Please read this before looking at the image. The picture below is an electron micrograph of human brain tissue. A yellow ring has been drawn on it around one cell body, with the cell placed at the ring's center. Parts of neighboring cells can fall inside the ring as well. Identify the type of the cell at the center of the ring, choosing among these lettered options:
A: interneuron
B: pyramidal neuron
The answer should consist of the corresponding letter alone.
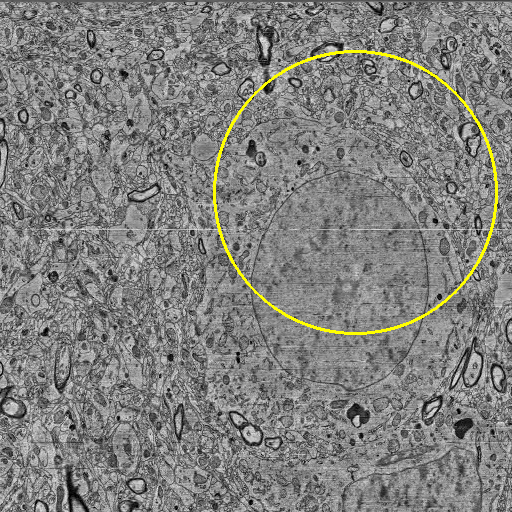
B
